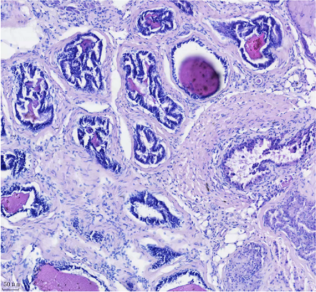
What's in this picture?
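This is prostate tissue made of many small glandular acini set in an abundant pale pink fibromuscular stroma. The glands are lined by an epithelium with dark purple nuclei that is thrown into infoldings projecting into the lumens. Some lumens hold pink secretion, one containing a dense dark purple concretion. The glands are small relative to the surrounding stroma.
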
